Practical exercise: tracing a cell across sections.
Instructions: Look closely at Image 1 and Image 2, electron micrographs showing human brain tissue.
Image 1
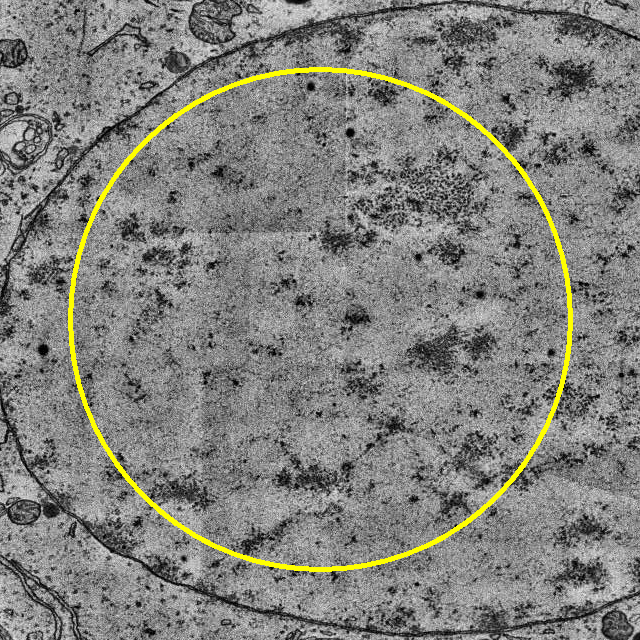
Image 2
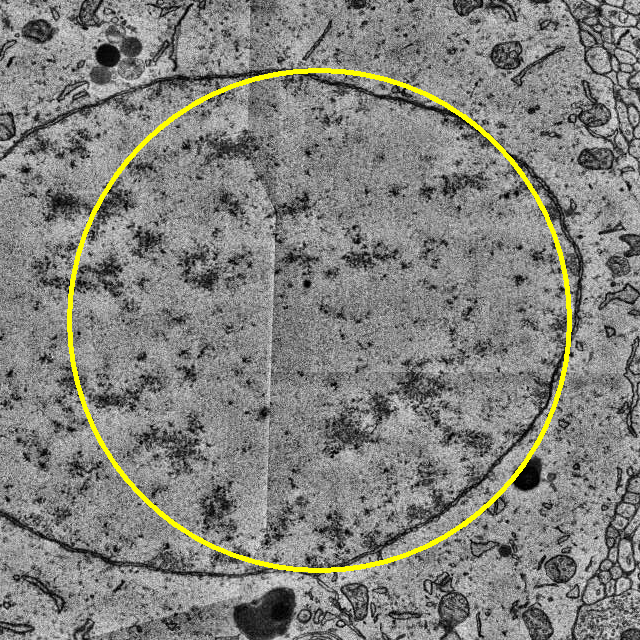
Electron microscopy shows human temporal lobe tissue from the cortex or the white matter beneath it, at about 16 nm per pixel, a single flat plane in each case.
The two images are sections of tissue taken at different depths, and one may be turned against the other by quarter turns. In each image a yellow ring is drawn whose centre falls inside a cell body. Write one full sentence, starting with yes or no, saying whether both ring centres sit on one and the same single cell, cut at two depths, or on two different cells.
Yes, the same cell appears within both yellow rings.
